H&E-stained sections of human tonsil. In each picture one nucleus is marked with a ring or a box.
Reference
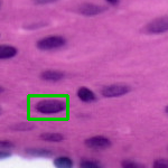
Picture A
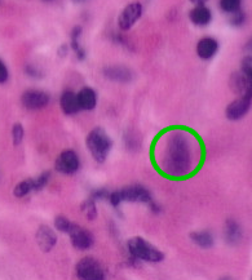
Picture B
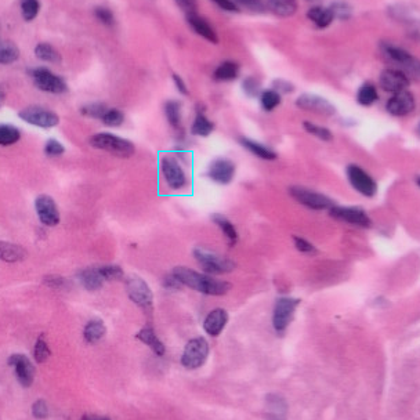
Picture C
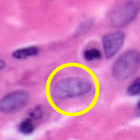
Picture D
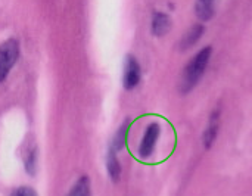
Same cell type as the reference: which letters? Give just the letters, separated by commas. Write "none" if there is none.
none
